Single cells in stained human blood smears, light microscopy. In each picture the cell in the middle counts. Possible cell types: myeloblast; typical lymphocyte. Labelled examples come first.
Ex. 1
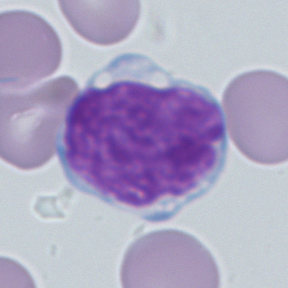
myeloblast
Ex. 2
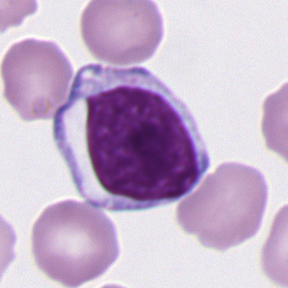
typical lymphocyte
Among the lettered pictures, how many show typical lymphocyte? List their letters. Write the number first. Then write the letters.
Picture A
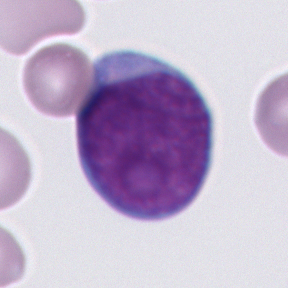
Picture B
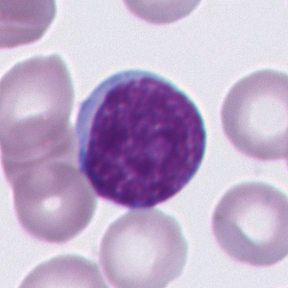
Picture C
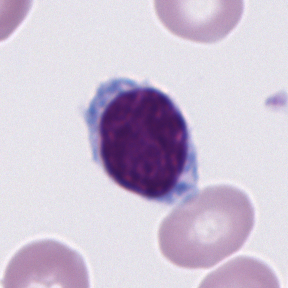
1, namely C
